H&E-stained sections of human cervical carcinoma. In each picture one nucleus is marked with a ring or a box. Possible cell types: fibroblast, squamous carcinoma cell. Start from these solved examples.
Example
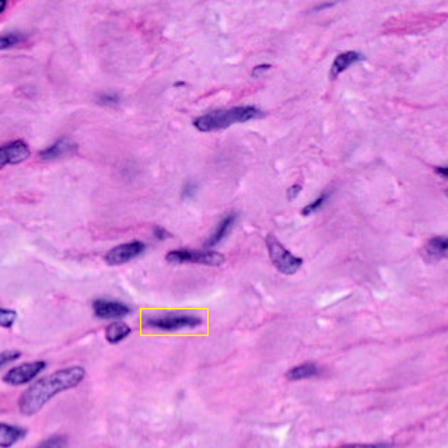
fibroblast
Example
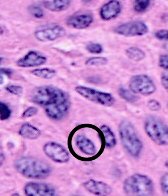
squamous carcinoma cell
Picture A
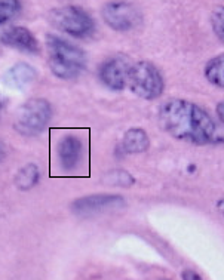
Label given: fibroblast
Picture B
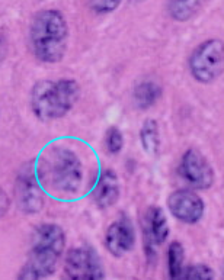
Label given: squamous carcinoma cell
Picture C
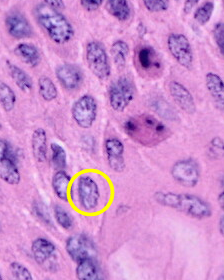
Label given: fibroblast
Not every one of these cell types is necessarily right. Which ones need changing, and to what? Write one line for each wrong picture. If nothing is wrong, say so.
Wrong: A (fibroblast); correct: squamous carcinoma cell
Wrong: C (fibroblast); correct: squamous carcinoma cell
